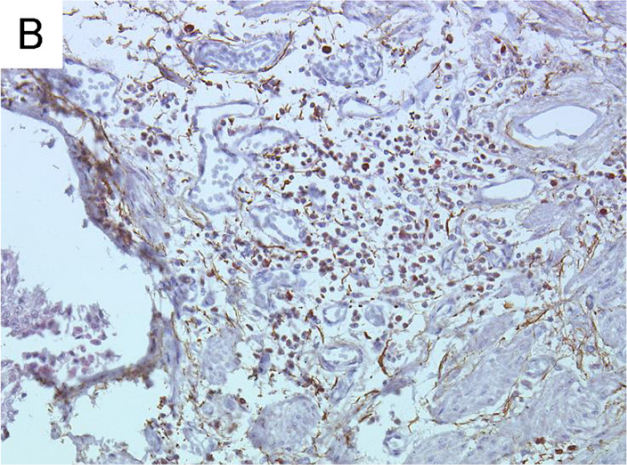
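This is scarred lung tissue, where pale fibrous stroma has replaced the fine alveolar walls. Distorted air spaces and small vessels are embedded in the thickened, collagen-rich tissue, with an open air space at the left edge. A band of small round inflammatory cells with dark nuclei crosses the middle of the field. Fine brown threads and brown-stained cells are scattered through the stroma, and a few cells are stained more strongly brown. Blue-stained nuclei of the remaining cells make up the background.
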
